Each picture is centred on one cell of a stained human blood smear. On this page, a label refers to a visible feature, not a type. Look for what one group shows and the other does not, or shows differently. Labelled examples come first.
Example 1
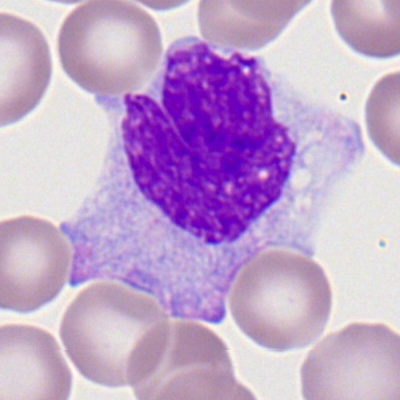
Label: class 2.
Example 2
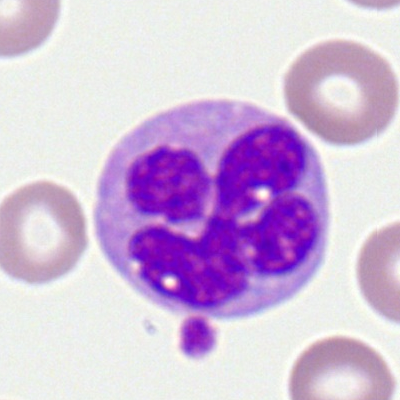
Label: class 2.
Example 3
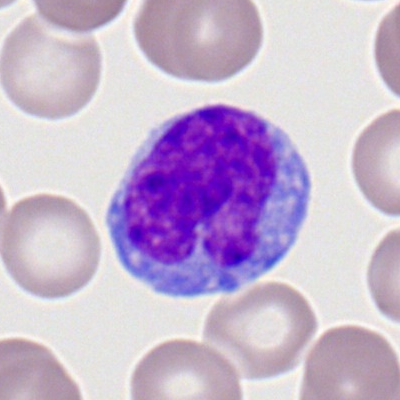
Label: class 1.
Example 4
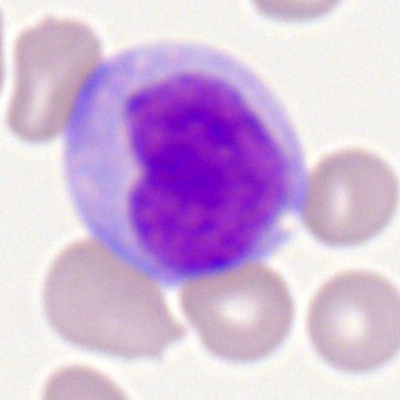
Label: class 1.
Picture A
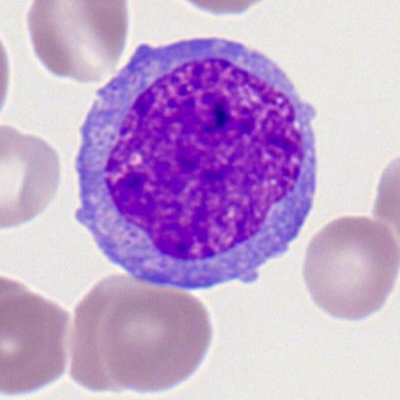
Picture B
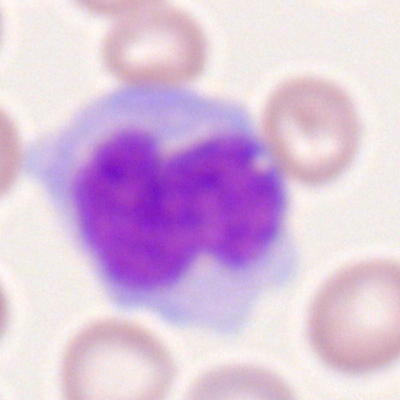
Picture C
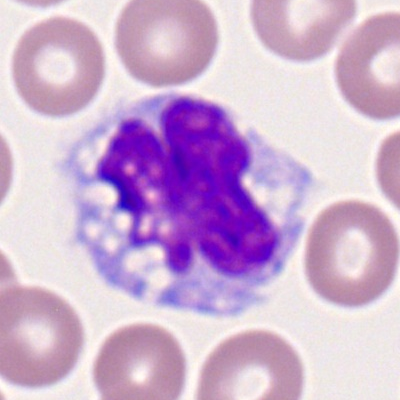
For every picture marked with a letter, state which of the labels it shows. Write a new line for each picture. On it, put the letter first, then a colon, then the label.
A: class 1.
B: class 2.
C: class 2.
